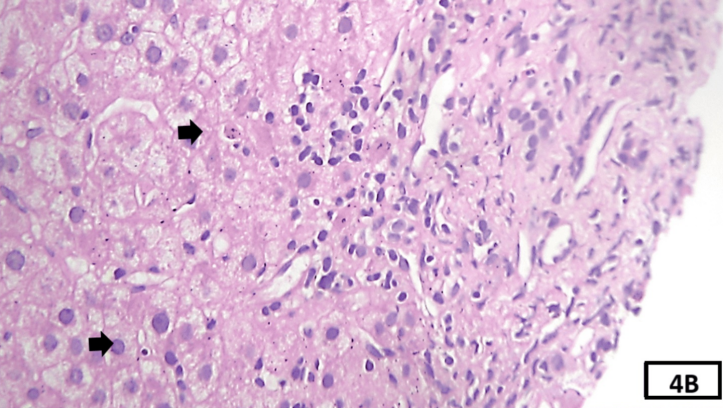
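On the left lie large polygonal liver cells with round central nuclei, visible nucleoli and pale, partly clear pink cytoplasm; on the right is a band of loose pink connective tissue with small vessels and a dense crowd of small, round, dark-nucleated inflammatory cells. The inflammatory cells spill from this portal tract across its border among the adjacent hepatocytes, the picture of interface hepatitis.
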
